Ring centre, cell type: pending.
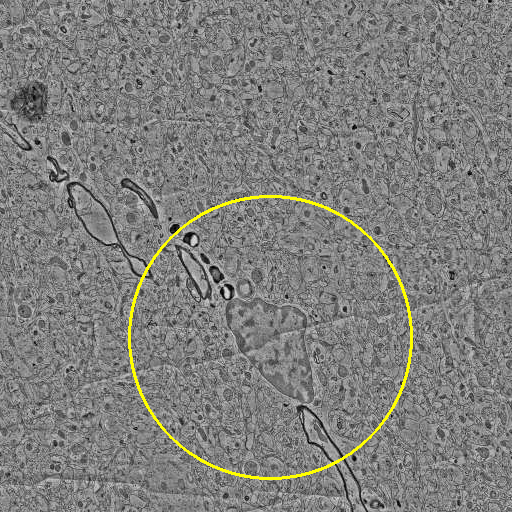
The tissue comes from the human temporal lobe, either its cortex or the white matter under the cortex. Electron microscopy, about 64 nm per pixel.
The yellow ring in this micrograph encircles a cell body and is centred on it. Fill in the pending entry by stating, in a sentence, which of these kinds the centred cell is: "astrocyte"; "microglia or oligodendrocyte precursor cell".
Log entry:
The centred cell is recorded as a microglial cell or oligodendrocyte precursor cell.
